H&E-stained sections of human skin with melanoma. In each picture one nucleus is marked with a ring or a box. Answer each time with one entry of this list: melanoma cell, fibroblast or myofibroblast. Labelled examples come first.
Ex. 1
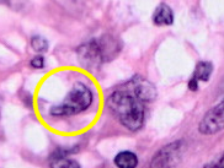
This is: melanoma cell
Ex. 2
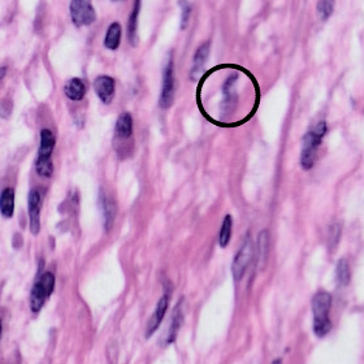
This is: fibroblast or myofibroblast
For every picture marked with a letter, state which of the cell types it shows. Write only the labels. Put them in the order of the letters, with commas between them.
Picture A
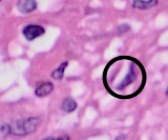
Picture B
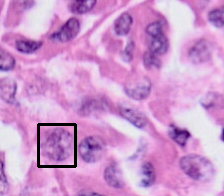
fibroblast or myofibroblast, melanoma cell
